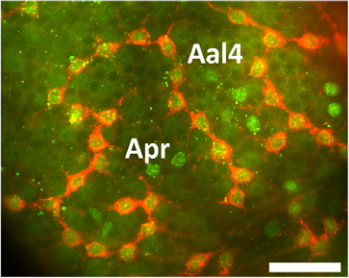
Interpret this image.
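This is a flat view onto a layer of spermatogonia, many of which are linked into long branching chains. The chained cells are rounded with red-rimmed cytoplasm and sit like beads along connecting strands, and most have a green nucleus. Between the chains lie scattered single or paired green nuclei without a red rim.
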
